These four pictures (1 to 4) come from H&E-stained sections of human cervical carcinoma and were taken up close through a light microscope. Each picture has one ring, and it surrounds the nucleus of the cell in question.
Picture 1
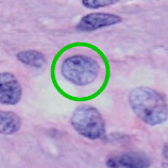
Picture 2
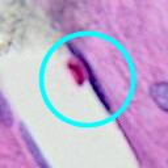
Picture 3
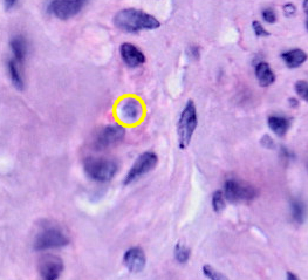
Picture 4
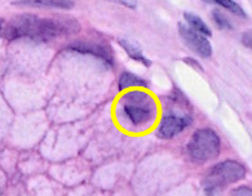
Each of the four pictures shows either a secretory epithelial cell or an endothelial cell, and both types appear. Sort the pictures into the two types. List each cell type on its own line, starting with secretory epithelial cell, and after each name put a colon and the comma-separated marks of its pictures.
secretory epithelial cell: 4
endothelial cell: 1, 2, 3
